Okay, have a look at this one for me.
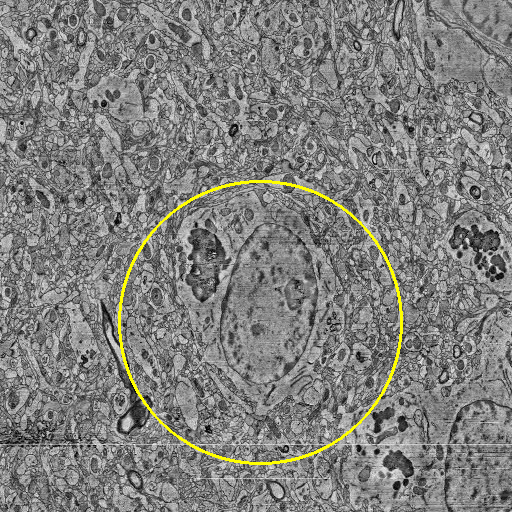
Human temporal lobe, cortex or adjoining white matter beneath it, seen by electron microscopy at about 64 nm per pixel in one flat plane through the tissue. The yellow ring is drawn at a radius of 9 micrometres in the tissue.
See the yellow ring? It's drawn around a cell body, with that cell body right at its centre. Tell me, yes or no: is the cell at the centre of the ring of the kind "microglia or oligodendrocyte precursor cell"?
No, it belongs to another kind.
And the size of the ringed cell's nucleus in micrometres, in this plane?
Roughly 11 by 6 micrometres; in this plane, clearly longer than it is wide.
